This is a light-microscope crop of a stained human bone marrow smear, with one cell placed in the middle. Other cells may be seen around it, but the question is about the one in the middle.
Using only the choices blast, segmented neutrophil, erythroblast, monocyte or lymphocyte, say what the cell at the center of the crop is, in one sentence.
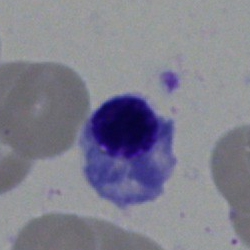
The cell found in the middle of this crop is an erythroblast.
